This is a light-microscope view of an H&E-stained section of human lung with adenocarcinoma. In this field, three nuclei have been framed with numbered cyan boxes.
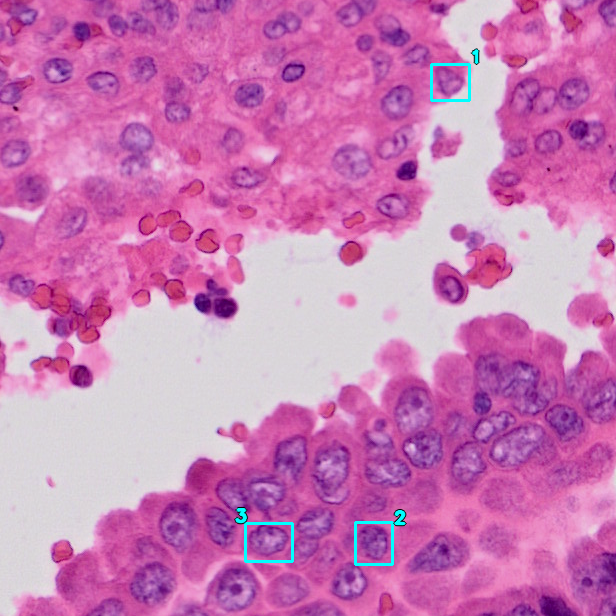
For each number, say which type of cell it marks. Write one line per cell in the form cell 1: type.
cell 1: macrophage or monocyte
cell 2: carcinoma cell
cell 3: carcinoma cell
